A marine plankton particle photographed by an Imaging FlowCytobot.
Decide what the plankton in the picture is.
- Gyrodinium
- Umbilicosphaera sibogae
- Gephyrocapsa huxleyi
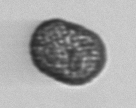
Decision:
Umbilicosphaera sibogae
